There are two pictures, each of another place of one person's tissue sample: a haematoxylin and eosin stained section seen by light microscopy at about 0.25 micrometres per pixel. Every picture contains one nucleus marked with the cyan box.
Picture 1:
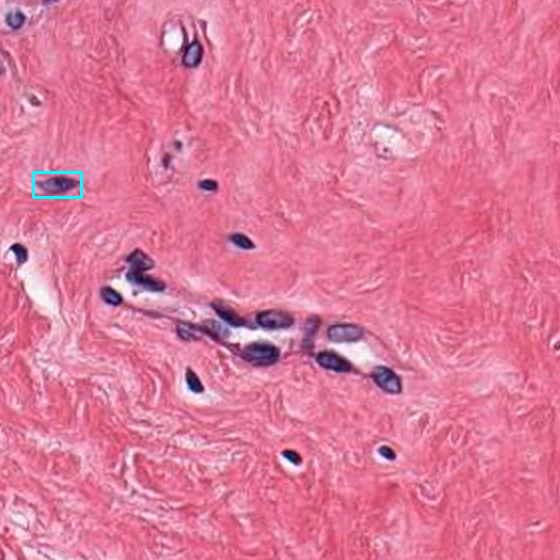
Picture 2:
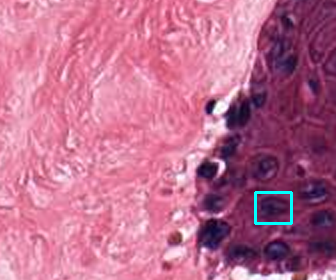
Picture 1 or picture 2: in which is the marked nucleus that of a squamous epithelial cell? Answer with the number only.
2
